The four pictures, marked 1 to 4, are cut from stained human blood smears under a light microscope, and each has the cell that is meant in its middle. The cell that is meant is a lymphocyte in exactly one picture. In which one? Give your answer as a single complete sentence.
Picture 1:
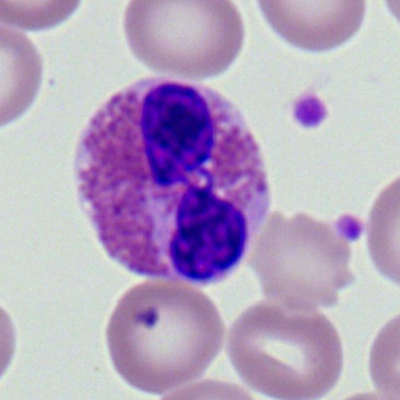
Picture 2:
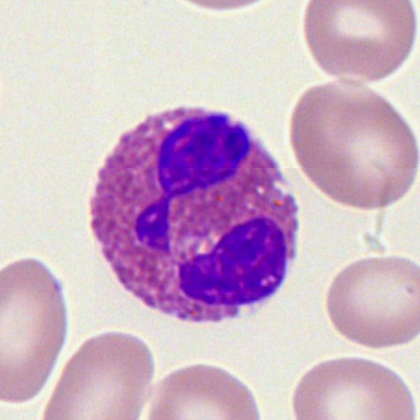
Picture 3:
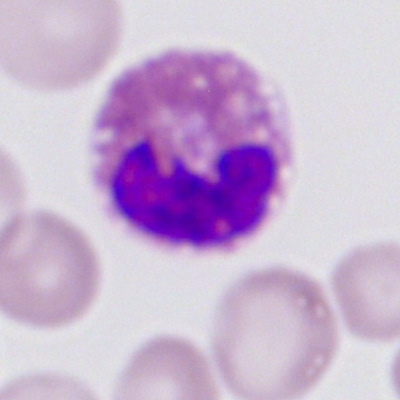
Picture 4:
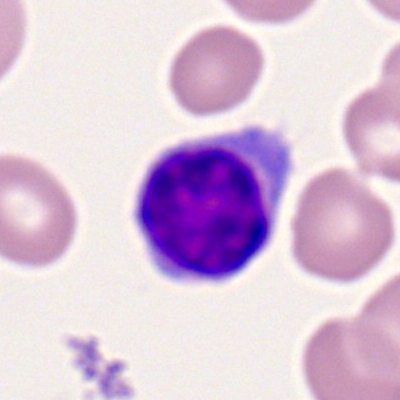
Picture 4 is the one that shows the lymphocyte.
